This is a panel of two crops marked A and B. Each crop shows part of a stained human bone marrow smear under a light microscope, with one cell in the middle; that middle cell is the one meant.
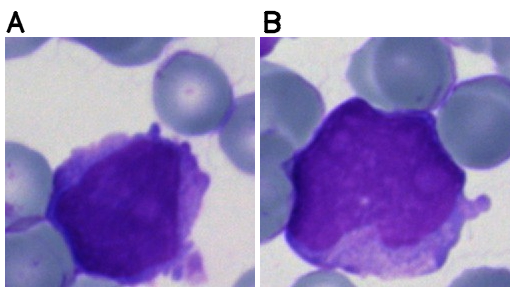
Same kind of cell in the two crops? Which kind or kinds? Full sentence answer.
Yes, the middle cells in the two crops are blasts.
